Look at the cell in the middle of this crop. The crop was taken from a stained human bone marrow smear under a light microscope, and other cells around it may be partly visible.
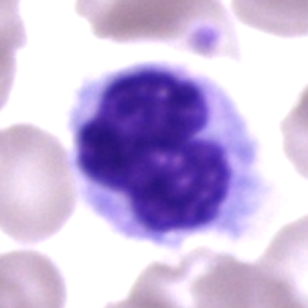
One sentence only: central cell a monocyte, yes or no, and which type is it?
Yes, the crop is centred on a monocyte.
